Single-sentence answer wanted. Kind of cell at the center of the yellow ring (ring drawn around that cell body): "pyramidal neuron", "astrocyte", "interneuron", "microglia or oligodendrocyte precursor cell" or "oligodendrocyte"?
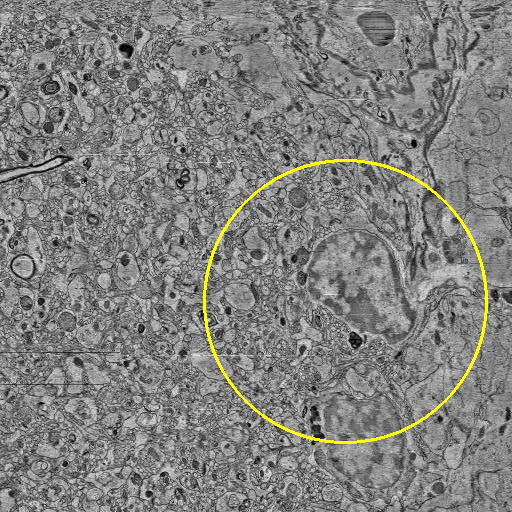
The cell centered in the ring is a microglial cell or oligodendrocyte precursor cell.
